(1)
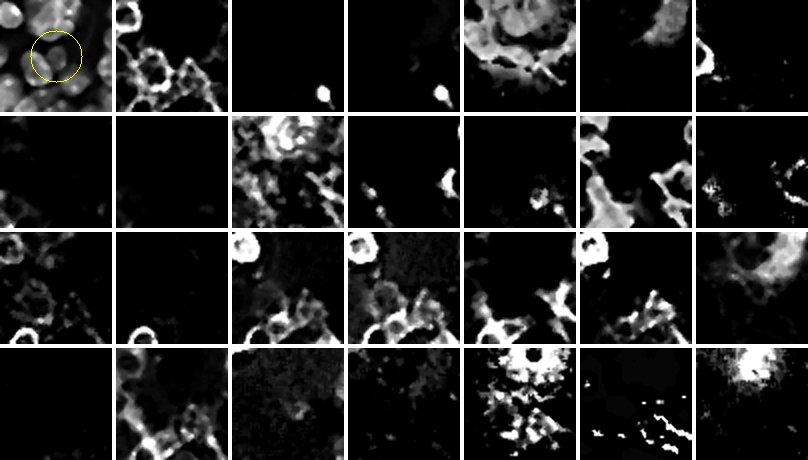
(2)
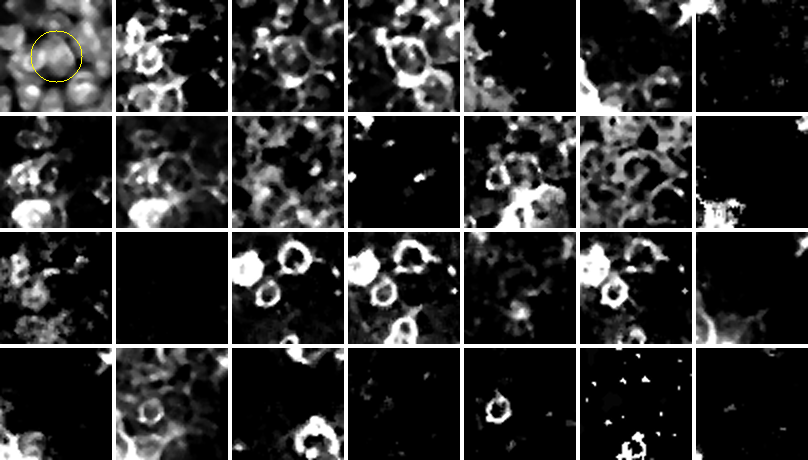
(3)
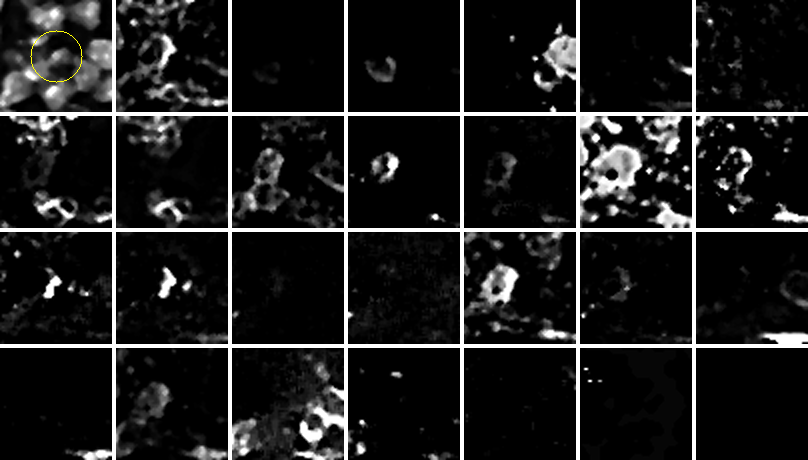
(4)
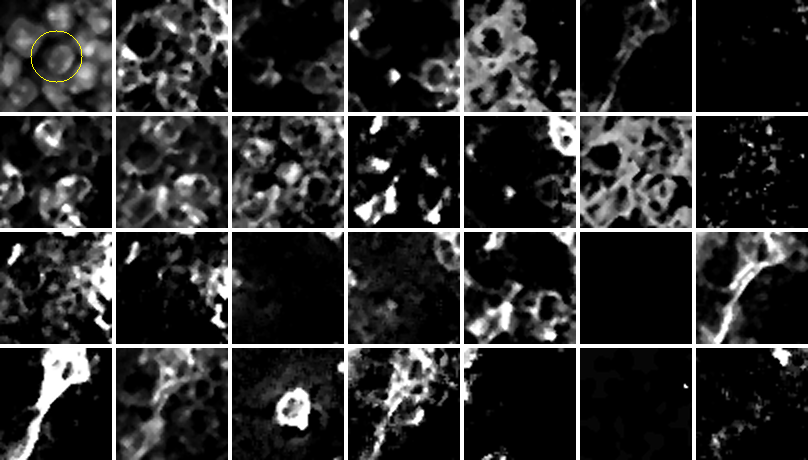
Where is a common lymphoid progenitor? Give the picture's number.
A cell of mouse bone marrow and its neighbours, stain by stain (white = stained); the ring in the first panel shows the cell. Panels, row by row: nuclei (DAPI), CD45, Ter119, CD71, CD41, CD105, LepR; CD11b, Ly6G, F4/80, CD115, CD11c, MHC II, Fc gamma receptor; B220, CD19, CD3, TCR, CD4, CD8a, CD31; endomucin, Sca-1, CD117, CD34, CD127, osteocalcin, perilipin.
1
